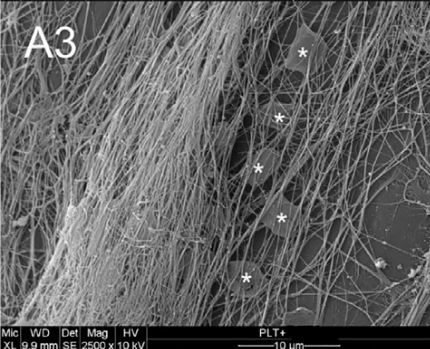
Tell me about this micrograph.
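Thick bundles of parallel fibrin fibres sweep diagonally across the left half of the field. To the right, on the smoother underlying surface, lies a row of small flat disc-like bodies a few micrometres across. They are spread thin against the surface and crossed by finer strands of the network. Between the strands the bare fibre surface shows through.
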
